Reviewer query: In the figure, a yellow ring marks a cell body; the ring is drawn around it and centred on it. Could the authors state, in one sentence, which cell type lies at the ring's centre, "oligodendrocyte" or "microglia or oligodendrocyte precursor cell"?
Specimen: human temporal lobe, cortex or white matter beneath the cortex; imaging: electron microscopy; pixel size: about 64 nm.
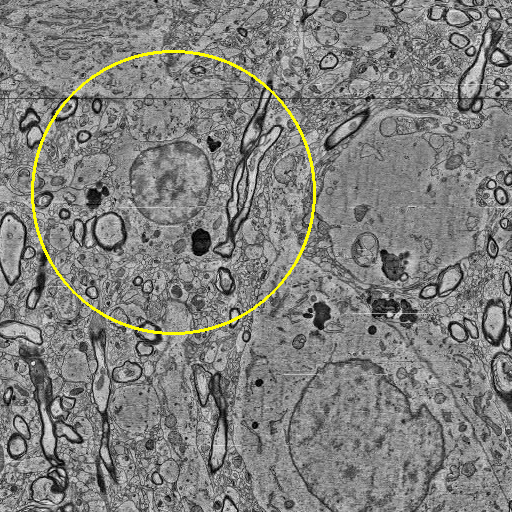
The ring is centred on an oligodendrocyte.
